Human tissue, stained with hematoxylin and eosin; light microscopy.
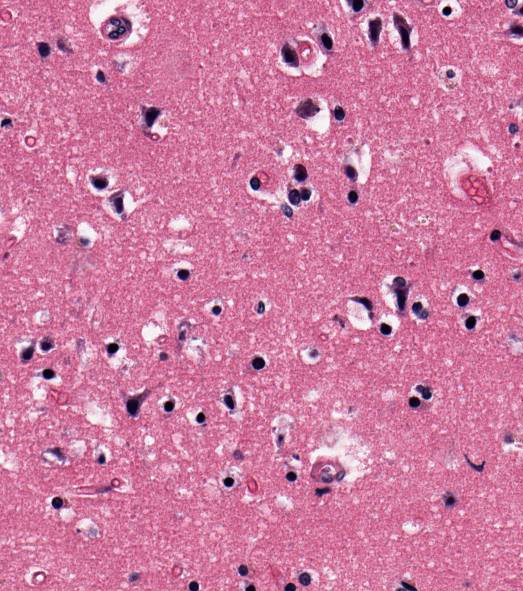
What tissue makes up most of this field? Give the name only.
cerebral cortex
